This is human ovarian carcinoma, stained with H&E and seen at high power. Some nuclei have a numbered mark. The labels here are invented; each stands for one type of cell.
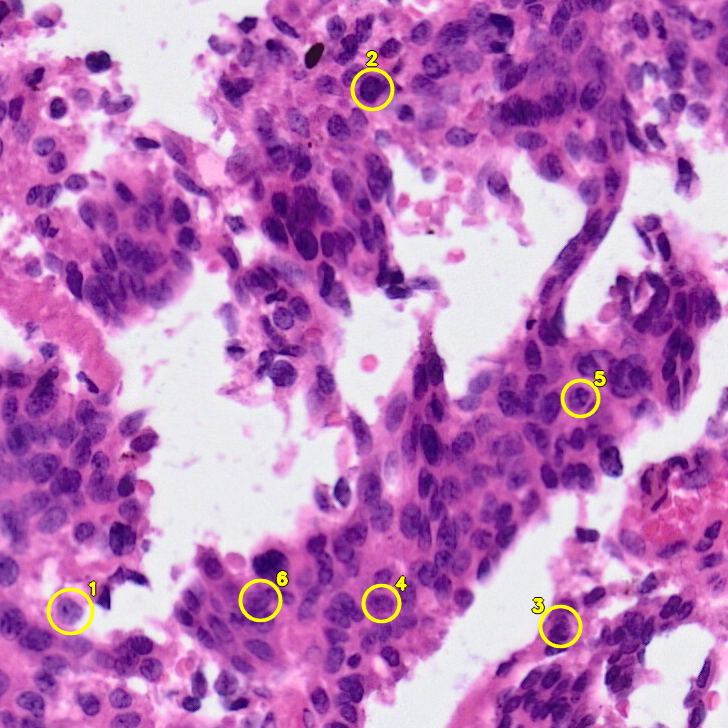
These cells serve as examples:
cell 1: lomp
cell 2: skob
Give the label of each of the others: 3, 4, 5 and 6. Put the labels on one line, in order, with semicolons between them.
skob; skob; lomp; skob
